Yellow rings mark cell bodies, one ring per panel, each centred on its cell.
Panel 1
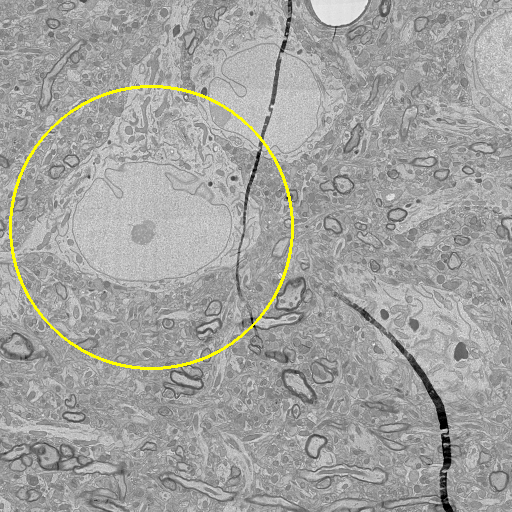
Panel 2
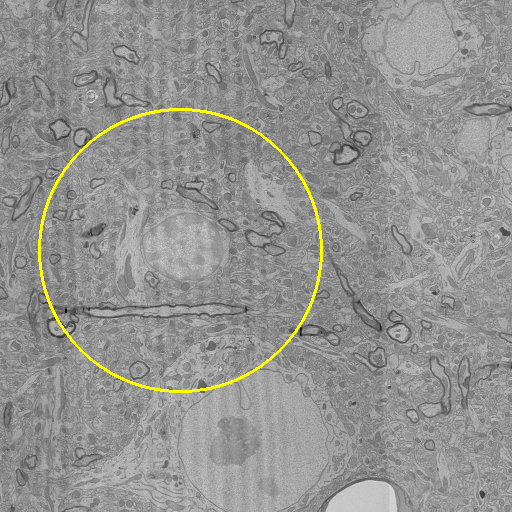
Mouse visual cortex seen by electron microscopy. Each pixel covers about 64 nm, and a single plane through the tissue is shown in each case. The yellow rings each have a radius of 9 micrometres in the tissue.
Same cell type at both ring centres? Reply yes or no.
no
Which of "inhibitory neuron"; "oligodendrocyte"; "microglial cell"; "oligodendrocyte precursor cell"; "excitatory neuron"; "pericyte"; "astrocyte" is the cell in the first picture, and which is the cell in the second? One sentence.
The two differ: the first cell is an excitatory neuron and the second is an oligodendrocyte.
